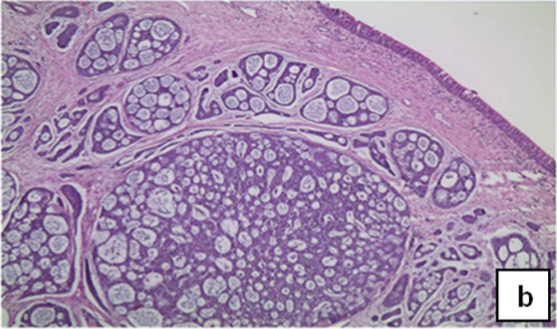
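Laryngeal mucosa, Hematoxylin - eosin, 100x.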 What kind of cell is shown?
basaloid cells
